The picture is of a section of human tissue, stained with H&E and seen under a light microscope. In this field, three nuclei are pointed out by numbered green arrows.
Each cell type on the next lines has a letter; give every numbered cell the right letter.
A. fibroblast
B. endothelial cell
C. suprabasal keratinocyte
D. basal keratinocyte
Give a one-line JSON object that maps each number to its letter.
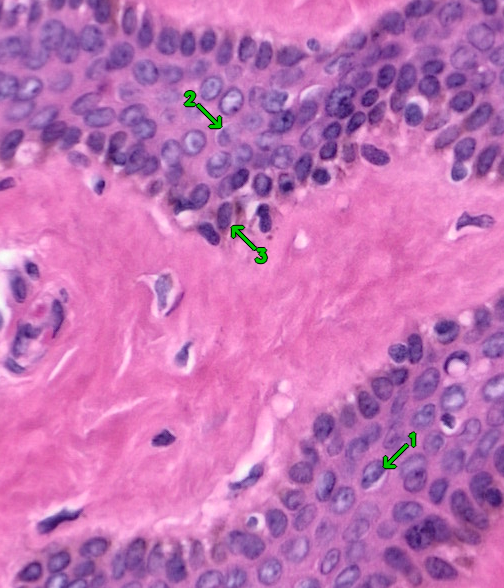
{"1": "C", "2": "C", "3": "D"}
